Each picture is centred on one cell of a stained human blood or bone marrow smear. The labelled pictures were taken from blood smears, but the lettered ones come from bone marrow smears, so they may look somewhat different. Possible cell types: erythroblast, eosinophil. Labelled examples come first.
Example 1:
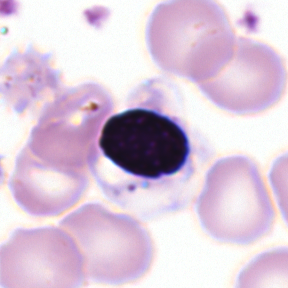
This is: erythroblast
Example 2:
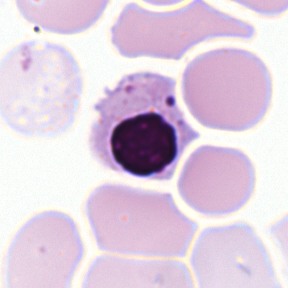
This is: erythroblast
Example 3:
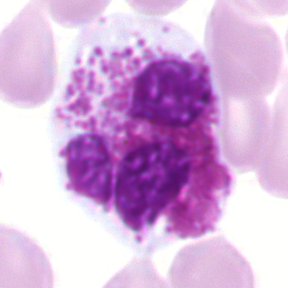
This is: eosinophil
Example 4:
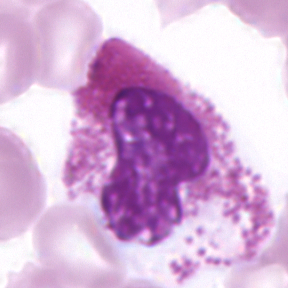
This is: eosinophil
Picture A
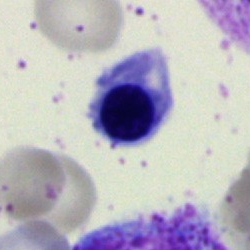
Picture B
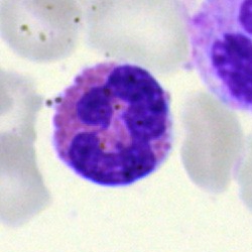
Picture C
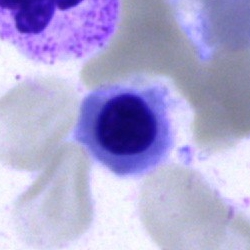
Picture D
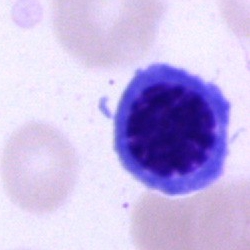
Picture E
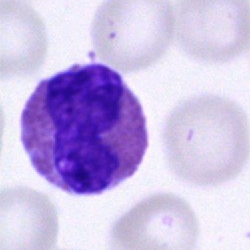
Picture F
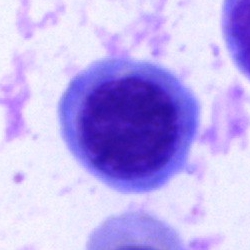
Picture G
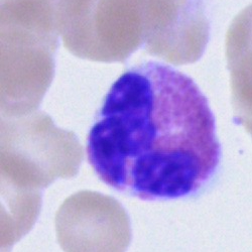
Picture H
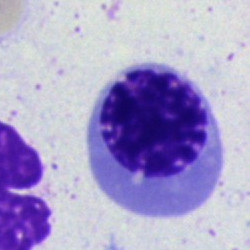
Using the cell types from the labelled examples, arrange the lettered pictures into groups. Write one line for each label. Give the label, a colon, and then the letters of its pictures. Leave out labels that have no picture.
erythroblast: A, C, D, F, H
eosinophil: B, E, G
